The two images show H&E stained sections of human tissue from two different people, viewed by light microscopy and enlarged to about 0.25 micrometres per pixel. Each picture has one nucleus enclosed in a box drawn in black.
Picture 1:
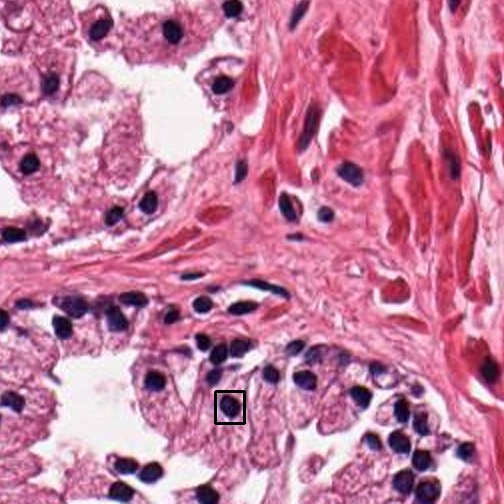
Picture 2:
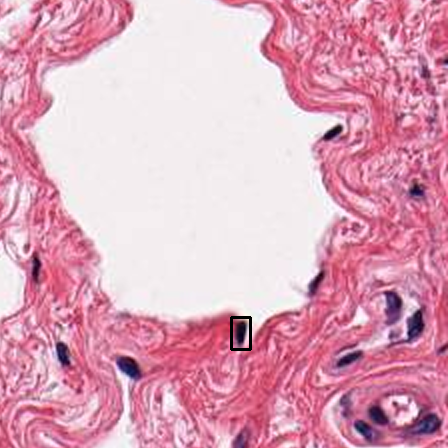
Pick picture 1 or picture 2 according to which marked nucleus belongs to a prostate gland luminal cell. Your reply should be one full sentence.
Where picture 1 is concerned, the marked nucleus belongs to a prostate gland luminal cell.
